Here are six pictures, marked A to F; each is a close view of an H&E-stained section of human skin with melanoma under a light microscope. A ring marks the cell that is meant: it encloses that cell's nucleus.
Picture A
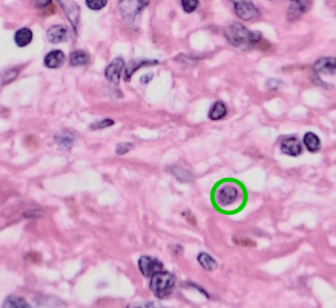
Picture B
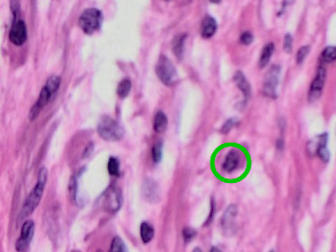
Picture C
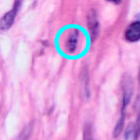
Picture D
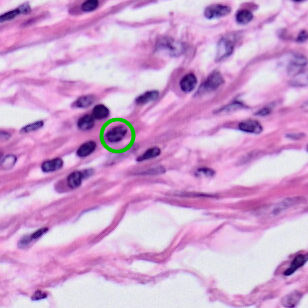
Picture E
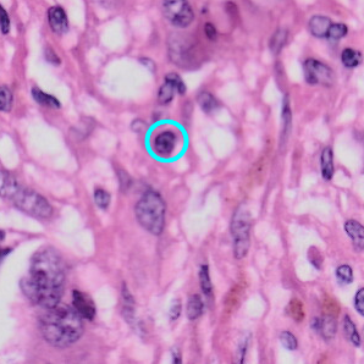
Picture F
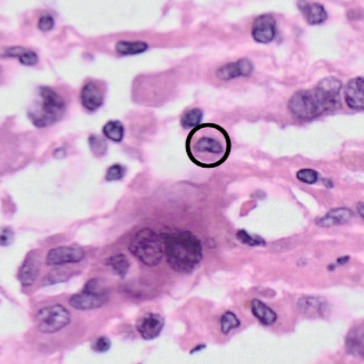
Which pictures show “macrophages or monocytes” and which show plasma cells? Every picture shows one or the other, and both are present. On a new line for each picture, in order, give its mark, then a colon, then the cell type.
A: macrophage or monocyte
B: plasma cell
C: plasma cell
D: plasma cell
E: plasma cell
F: macrophage or monocyte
